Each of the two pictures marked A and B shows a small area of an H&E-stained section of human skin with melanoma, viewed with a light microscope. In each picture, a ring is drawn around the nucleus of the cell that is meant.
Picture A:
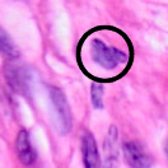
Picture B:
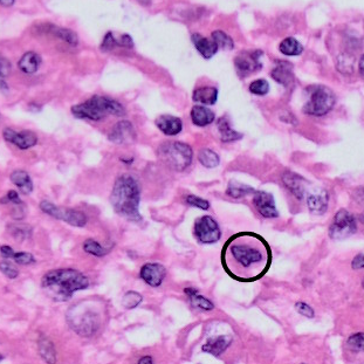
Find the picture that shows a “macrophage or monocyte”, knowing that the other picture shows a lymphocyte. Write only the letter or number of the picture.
B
